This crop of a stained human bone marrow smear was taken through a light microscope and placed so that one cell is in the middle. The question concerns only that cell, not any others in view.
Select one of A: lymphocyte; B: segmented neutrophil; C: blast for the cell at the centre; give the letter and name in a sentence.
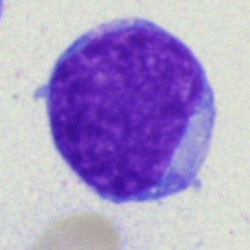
The one cell at the centre is a blast, as correctly stated in option C.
